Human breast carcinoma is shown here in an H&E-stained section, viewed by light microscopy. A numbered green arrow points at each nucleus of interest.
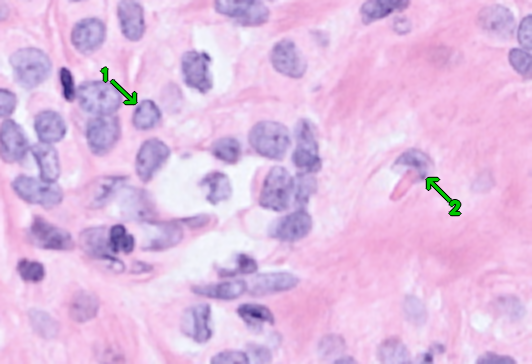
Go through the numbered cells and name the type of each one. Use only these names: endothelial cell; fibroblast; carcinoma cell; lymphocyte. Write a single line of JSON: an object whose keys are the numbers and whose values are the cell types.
{"1": "carcinoma cell", "2": "endothelial cell"}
